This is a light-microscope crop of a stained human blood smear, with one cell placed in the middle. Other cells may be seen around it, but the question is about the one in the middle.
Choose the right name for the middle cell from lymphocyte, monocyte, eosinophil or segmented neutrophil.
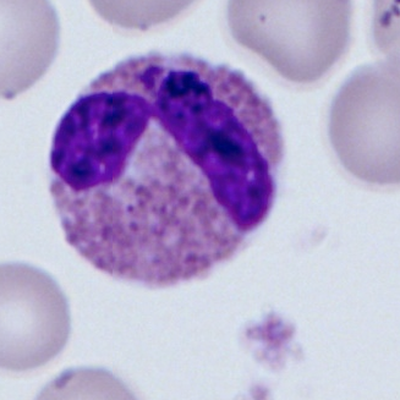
eosinophil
